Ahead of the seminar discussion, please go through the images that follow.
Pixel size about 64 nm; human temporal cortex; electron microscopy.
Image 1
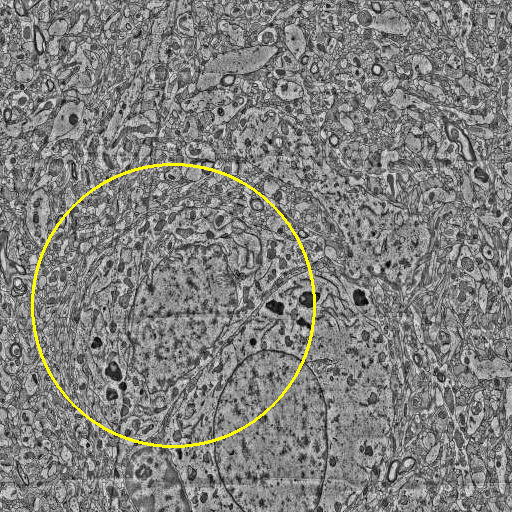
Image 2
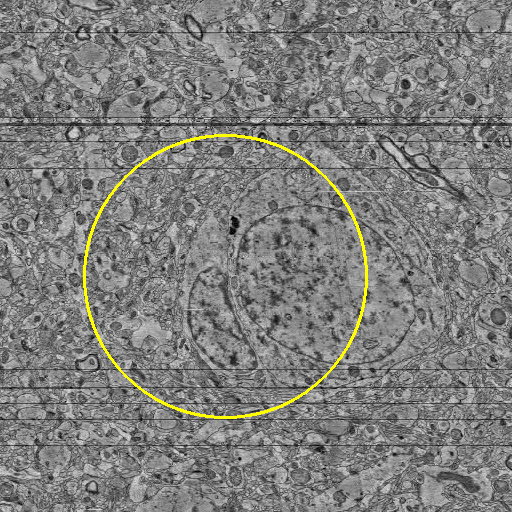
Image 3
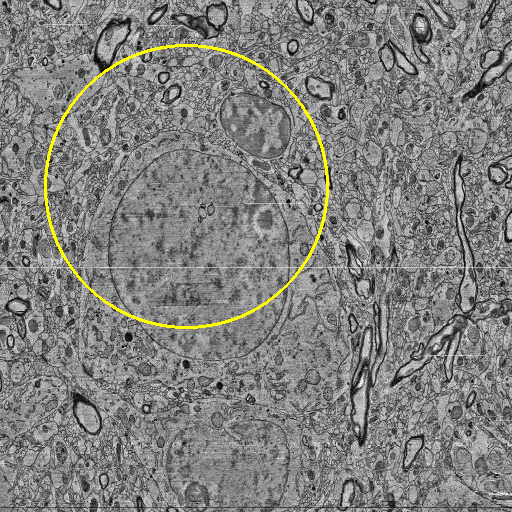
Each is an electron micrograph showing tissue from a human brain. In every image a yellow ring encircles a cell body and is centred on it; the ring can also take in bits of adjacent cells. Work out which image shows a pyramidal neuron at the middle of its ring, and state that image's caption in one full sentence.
In Image 3, the ring's centre holds the cell you are looking for.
